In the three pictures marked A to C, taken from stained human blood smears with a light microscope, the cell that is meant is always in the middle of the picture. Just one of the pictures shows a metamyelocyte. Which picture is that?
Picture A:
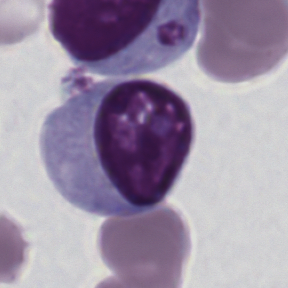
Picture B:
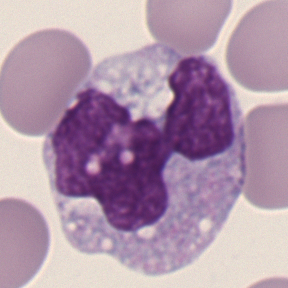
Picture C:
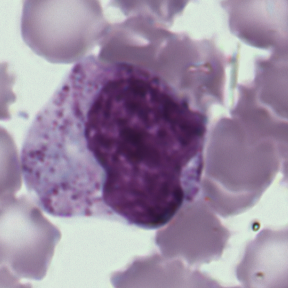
C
